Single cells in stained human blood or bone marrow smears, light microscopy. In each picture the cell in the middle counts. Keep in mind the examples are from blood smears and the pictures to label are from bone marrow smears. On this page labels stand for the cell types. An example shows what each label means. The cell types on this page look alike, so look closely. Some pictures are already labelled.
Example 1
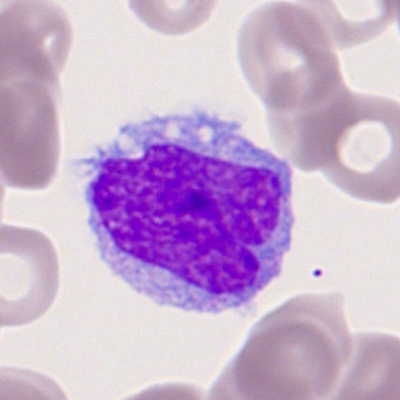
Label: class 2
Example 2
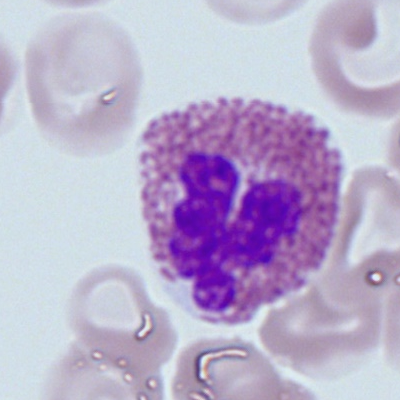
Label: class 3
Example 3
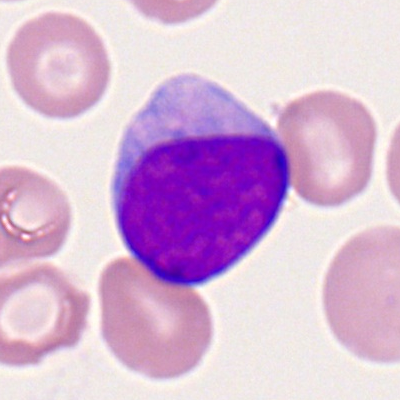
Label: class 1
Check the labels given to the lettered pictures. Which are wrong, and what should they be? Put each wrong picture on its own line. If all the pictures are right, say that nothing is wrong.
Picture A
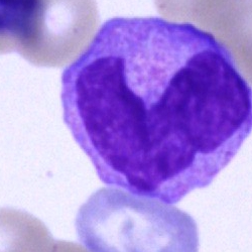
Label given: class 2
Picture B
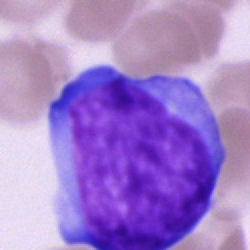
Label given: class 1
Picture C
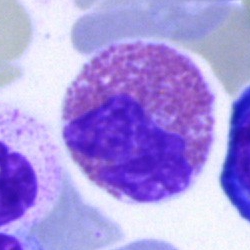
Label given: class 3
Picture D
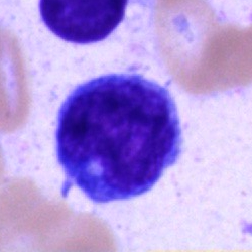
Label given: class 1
All correct.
